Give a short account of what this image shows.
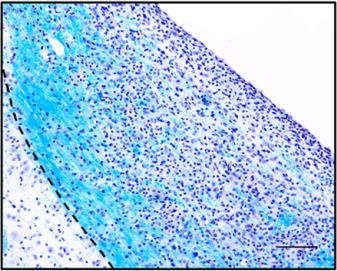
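Small, dark blue nuclei crowd densely across the tract, especially toward the outer surface, breaking up the otherwise continuous blue fibre band. The paler gray matter lies beyond the dashed line in the lower left corner.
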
